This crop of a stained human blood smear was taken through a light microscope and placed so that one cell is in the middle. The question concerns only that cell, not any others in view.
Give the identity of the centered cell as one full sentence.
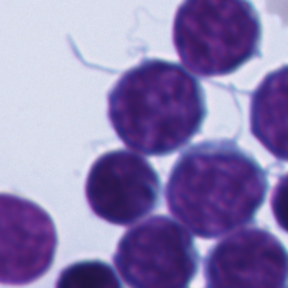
For this crop, the central cell is a myeloblast.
